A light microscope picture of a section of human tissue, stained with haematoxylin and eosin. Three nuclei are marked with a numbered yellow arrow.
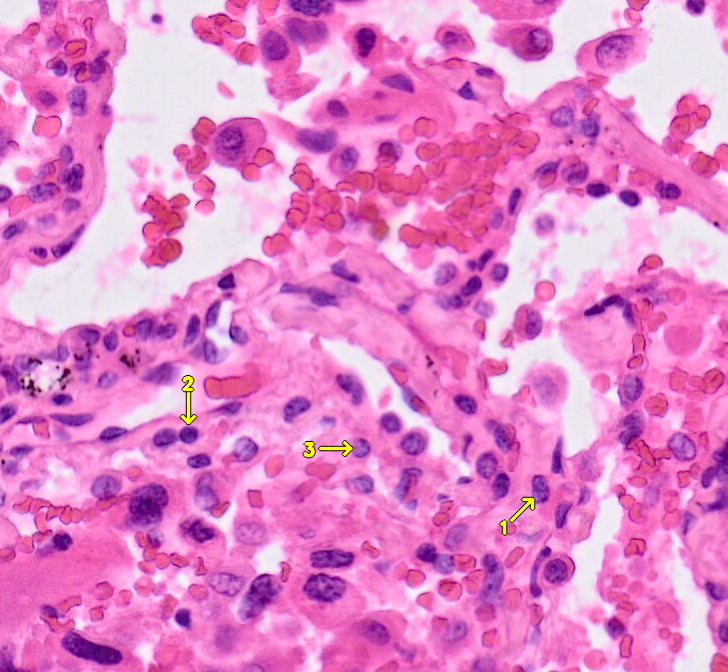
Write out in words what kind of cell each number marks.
Cells 1 and 3 are mast cells. Cell 2 is a lymphocyte.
